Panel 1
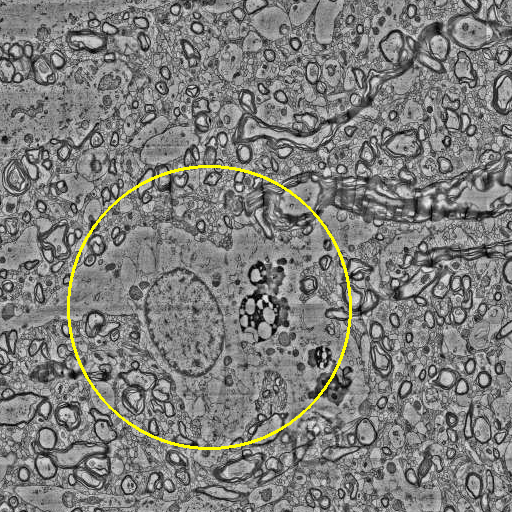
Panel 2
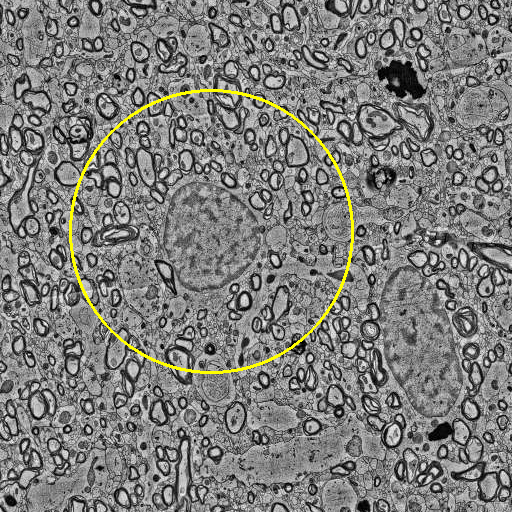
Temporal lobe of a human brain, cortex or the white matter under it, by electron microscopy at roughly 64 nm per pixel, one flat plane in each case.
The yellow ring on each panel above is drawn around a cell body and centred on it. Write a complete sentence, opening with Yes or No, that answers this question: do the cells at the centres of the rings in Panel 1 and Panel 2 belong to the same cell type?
No, the two cells belong to two cell types.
